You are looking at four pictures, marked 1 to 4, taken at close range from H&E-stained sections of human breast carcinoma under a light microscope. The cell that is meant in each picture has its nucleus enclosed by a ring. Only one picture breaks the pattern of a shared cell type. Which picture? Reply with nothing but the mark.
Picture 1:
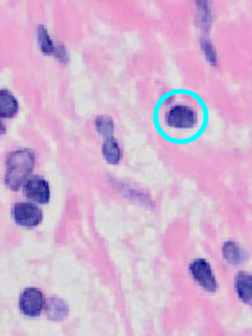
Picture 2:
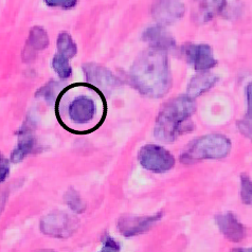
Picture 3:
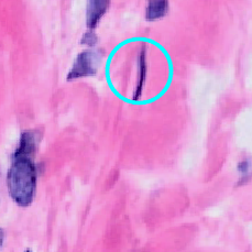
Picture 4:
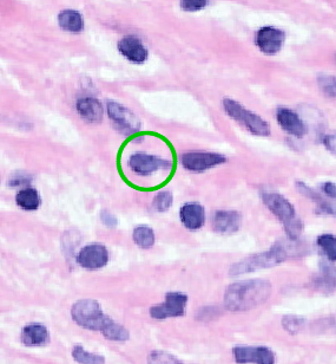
3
